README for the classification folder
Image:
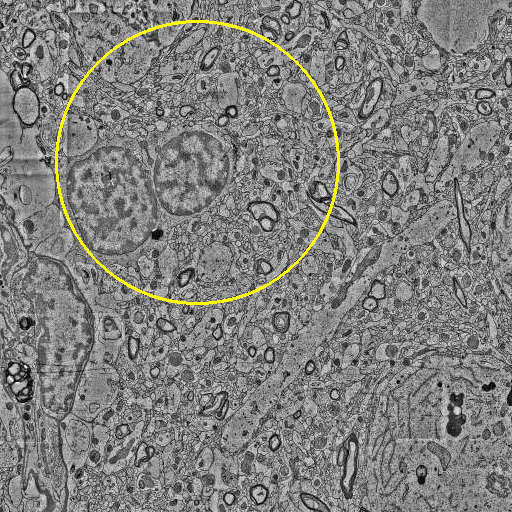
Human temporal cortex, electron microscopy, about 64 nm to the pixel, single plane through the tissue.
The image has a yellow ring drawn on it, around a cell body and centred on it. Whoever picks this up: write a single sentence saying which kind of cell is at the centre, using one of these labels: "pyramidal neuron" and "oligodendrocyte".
This cell body is that of an oligodendrocyte.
